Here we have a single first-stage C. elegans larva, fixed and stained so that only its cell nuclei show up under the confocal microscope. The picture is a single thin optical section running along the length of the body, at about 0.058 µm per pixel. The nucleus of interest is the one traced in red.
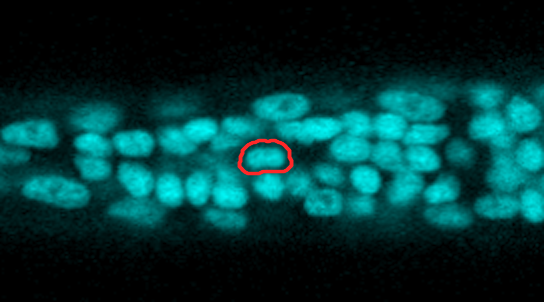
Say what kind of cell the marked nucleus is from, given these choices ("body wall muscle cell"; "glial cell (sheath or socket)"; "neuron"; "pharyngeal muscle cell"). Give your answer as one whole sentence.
The cell with the marked nucleus is a pharyngeal muscle cell.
